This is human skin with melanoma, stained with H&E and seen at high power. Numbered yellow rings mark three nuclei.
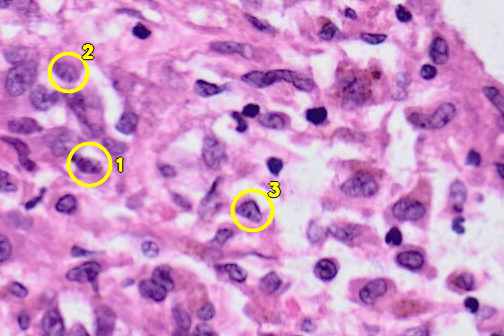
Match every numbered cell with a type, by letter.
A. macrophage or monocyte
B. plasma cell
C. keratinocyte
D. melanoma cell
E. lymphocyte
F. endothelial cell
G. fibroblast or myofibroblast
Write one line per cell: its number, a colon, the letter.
1: D
2: D
3: A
